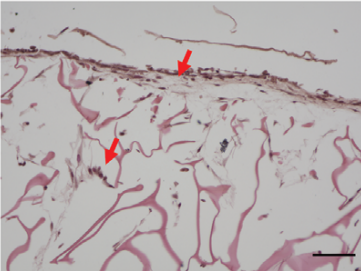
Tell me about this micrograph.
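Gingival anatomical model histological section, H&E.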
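The surface band is several cells thick, with dark purple nuclei crowded along the top. Below, thin pink scaffold walls outline open pores, with scattered cells with dark nuclei lying along the walls.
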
